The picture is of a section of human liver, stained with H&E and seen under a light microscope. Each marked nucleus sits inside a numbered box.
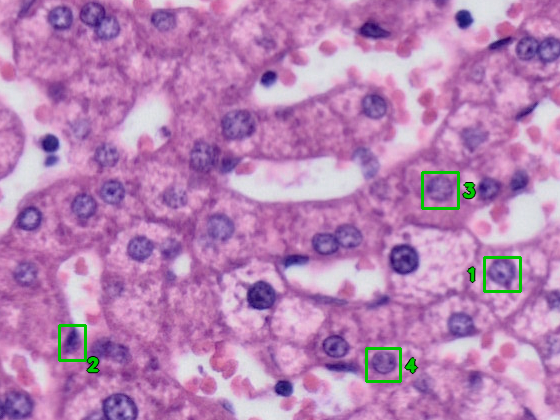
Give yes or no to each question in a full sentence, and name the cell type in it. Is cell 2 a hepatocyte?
No, cell 2, which is a fibroblast or stellate cell, is not a hepatocyte.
